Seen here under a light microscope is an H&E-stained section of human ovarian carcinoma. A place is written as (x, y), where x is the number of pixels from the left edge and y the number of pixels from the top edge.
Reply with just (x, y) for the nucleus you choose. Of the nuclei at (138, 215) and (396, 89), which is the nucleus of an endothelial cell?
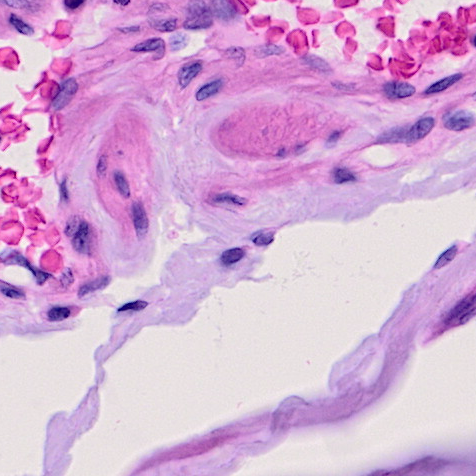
(396, 89)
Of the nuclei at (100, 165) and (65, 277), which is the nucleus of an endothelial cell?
(65, 277)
